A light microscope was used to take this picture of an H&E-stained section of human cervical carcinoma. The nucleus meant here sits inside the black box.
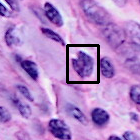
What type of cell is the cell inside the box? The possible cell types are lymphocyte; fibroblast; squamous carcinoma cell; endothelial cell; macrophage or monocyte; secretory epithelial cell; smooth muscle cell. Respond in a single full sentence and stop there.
By cell type, the cell inside the box is a lymphocyte.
